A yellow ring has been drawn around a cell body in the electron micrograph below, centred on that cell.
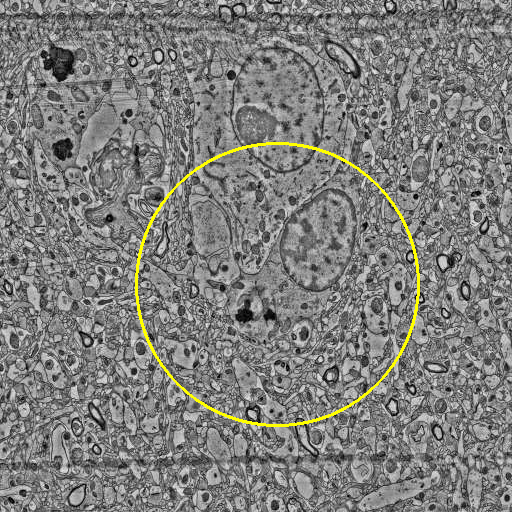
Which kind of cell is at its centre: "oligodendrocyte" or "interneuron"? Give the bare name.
oligodendrocyte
